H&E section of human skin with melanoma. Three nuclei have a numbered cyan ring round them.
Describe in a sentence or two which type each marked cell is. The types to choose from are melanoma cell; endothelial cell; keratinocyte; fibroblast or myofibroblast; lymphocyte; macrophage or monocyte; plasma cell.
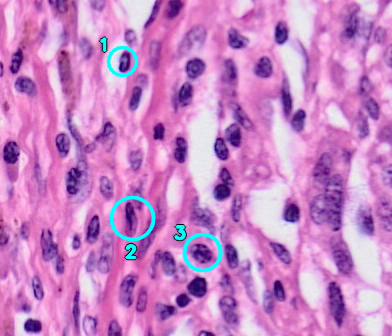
Cell 1 is a lymphocyte, cell 2 is a lymphocyte and cell 3 is a plasma cell.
